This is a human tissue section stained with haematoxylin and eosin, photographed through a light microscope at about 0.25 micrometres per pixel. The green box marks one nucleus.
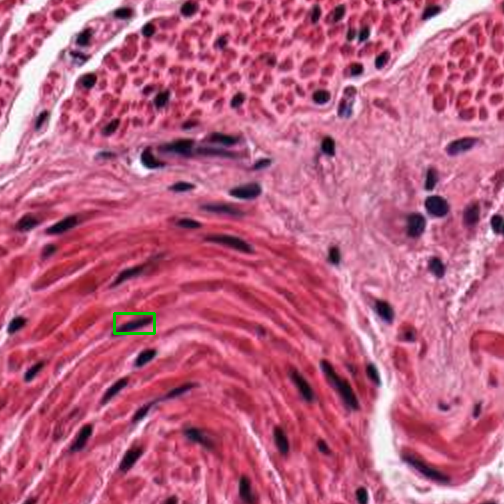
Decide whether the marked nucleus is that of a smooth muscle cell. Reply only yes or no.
yes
